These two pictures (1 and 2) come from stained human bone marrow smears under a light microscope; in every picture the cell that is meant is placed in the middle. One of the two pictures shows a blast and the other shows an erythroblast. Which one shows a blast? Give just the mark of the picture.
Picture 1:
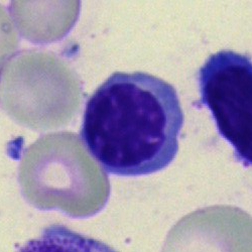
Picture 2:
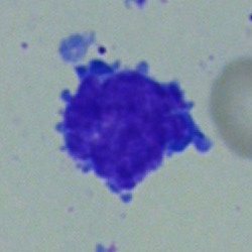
2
